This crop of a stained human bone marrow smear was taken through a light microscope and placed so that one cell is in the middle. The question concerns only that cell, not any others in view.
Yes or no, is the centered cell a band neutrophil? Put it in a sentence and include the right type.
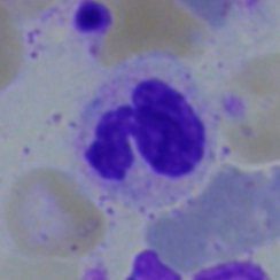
No, the central cell does not represent a band neutrophil, but a segmented neutrophil.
